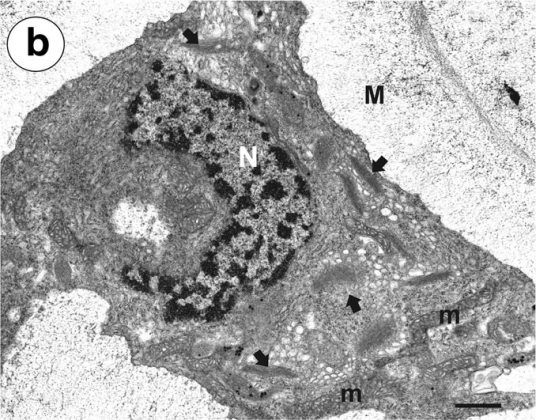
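A large, irregularly curved nucleus with dark clumped chromatin fills much of the cell. The dense cytoplasm holds several stacked dictyosomes surrounded by many small pale vesicles, along with mitochondria. Outside the cell lies a wide zone of pale, finely fibrillar mucilage.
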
